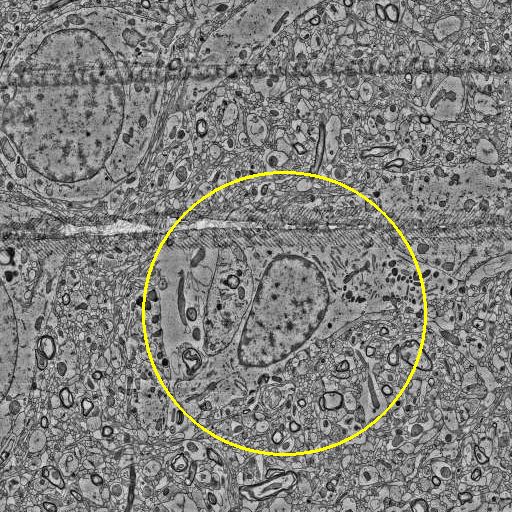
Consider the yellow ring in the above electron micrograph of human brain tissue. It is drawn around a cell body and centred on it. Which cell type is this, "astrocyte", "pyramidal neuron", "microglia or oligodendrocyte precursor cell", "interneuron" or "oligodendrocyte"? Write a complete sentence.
The cell in question is a microglial cell or oligodendrocyte precursor cell.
